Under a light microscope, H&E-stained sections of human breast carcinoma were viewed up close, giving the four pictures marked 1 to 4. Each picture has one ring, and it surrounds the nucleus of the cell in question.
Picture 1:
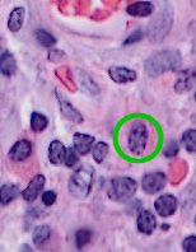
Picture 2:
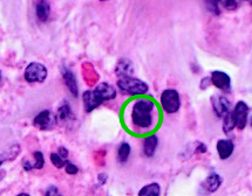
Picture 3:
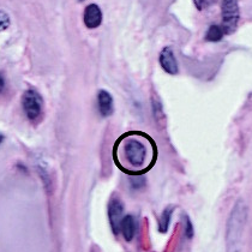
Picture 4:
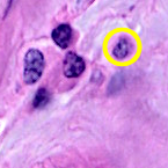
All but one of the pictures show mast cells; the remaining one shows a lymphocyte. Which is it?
2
